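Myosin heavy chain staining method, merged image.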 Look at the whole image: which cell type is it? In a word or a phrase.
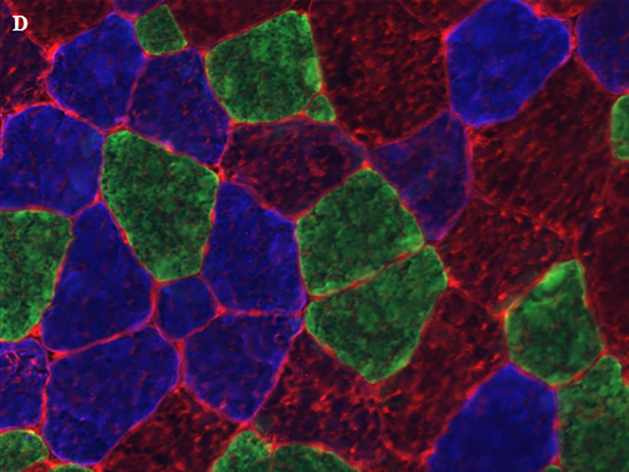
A: Muscle fiber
